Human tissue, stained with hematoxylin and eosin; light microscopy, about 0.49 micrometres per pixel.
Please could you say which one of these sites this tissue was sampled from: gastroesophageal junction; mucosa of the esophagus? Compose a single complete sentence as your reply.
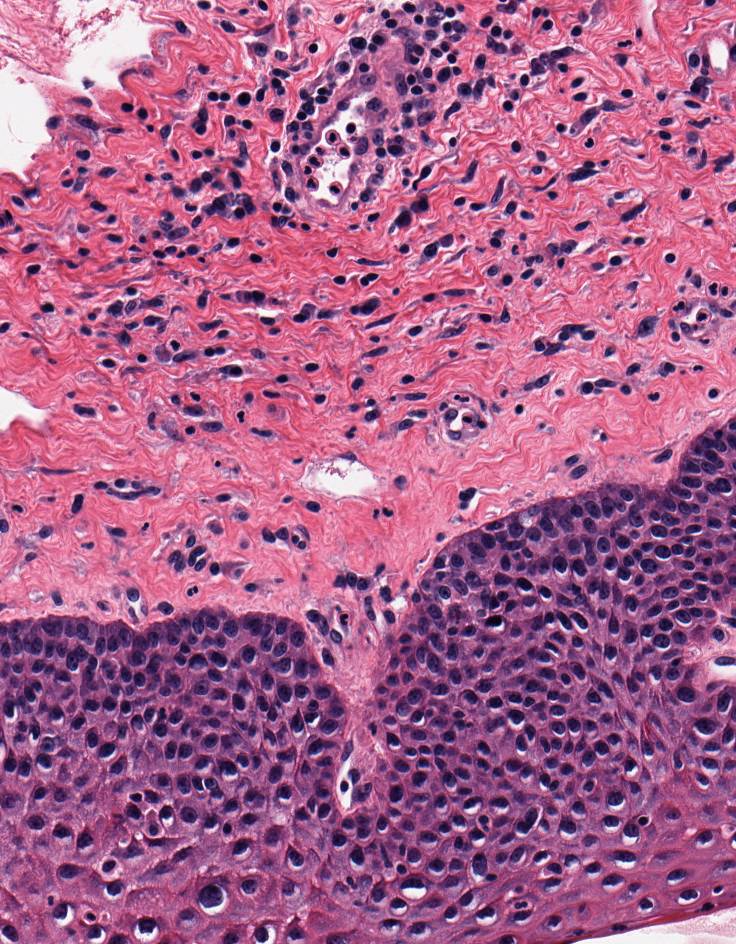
This material was sampled from the mucosa of the esophagus.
